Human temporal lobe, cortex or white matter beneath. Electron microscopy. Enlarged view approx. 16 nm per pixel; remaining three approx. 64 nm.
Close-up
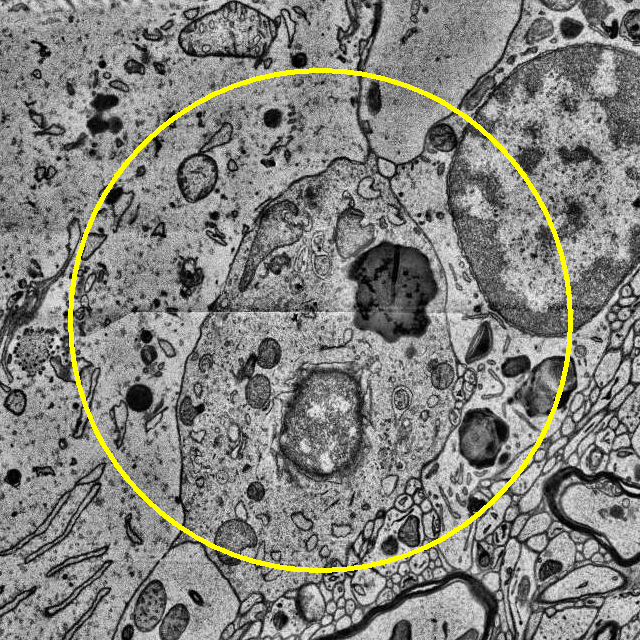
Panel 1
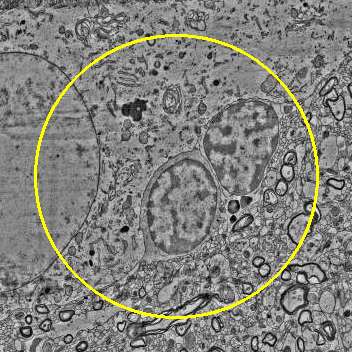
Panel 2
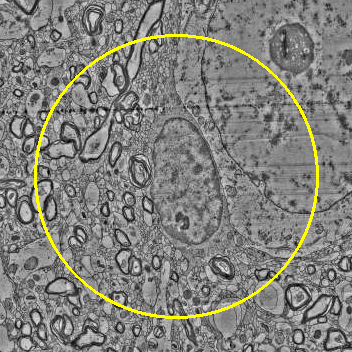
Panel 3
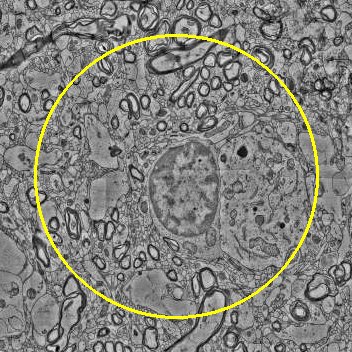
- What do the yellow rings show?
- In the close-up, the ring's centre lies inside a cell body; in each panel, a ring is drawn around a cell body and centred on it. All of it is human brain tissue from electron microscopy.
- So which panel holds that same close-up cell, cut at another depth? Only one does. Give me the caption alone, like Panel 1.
Panel 1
